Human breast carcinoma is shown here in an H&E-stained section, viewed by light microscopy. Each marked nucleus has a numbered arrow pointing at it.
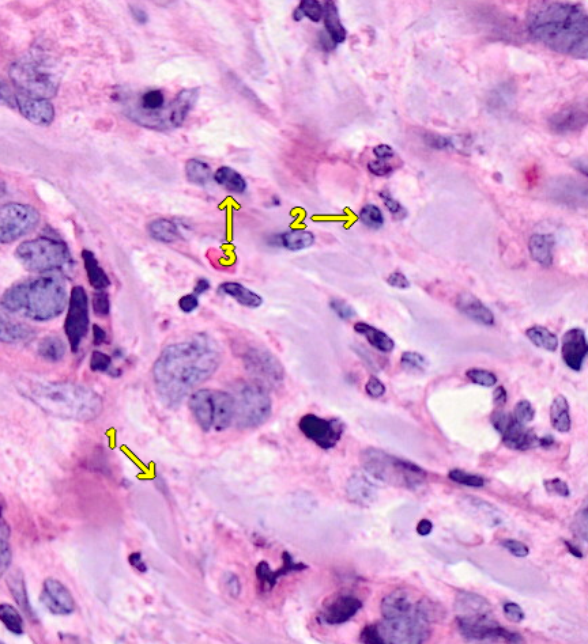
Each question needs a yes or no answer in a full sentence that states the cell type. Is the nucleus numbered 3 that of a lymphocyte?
Yes, the cell carrying number 3 is a lymphocyte.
